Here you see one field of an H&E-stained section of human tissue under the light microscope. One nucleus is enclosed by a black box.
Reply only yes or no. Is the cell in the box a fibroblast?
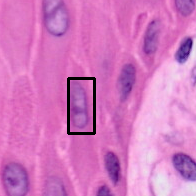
no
